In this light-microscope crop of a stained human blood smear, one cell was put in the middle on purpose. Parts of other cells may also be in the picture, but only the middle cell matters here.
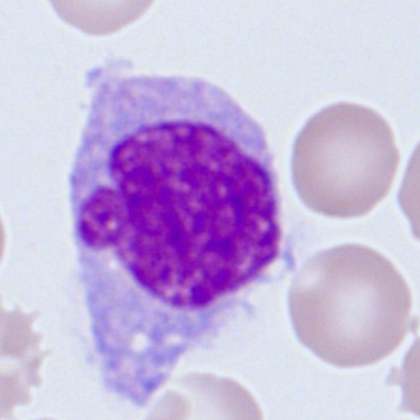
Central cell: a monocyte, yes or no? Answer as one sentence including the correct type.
Yes, the cell in the center of this crop is a monocyte.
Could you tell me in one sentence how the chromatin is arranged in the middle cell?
If you check the nucleus, you will find the chromatin coarsely clumped.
